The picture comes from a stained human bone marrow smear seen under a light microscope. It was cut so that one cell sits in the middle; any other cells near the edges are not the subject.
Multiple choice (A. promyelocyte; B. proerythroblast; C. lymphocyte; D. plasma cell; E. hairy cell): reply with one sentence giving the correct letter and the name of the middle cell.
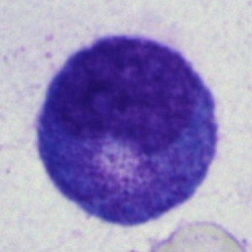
The right choice is option A: the cell in the middle is a promyelocyte.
